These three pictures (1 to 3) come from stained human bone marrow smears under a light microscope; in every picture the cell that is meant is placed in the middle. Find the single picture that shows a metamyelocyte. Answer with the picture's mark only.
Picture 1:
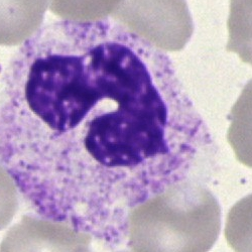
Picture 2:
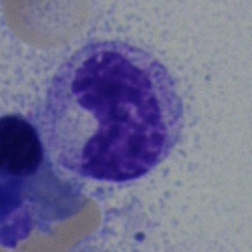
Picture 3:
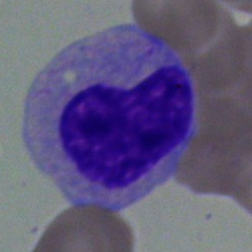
3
